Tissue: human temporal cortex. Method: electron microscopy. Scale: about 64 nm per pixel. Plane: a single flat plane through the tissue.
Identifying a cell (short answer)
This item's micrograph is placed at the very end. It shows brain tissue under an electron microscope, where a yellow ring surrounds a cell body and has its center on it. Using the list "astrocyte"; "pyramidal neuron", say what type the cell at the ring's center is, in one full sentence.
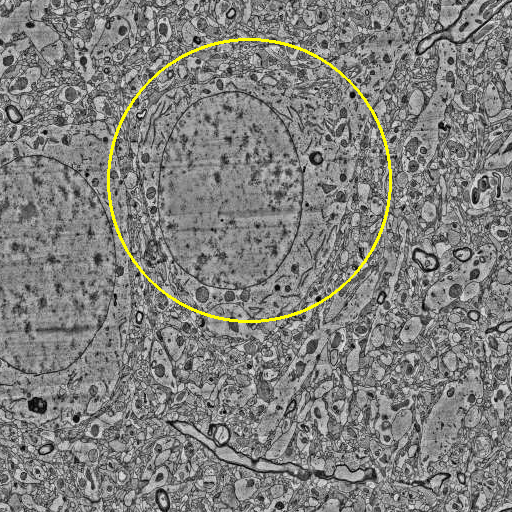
This picture shows a pyramidal neuron at the center of the yellow ring drawn on it.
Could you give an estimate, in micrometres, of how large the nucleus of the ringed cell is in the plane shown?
The nucleus is approximately 13 micrometers long by 10 micrometers wide in this plane.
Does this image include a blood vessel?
No, there is no blood vessel in the image.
